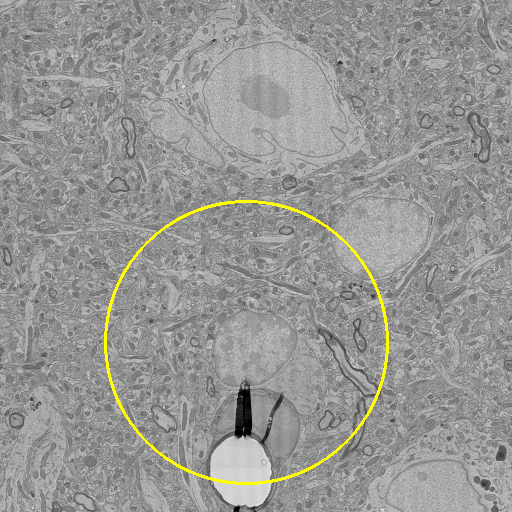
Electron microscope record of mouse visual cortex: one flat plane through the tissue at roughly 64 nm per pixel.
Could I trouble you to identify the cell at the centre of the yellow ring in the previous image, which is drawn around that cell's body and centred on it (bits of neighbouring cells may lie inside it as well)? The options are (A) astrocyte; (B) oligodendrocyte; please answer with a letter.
B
